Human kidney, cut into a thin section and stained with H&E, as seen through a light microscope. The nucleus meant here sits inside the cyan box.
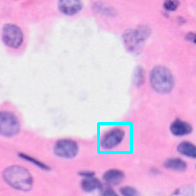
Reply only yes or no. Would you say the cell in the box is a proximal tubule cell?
no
